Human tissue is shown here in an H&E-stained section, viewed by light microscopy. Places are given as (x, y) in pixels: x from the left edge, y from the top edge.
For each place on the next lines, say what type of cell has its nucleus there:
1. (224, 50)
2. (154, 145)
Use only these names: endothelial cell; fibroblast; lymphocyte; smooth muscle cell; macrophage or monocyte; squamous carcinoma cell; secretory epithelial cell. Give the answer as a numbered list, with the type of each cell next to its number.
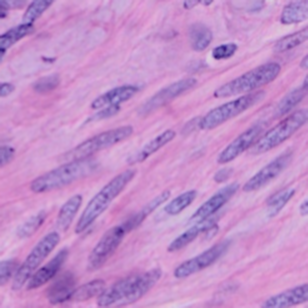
1. lymphocyte
2. smooth muscle cell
